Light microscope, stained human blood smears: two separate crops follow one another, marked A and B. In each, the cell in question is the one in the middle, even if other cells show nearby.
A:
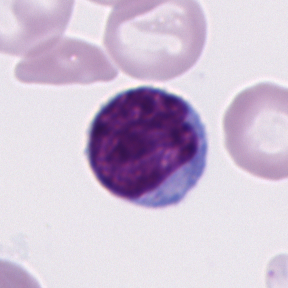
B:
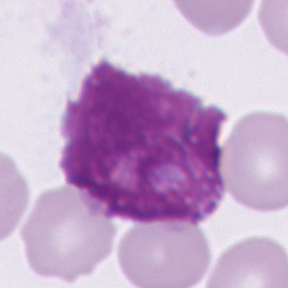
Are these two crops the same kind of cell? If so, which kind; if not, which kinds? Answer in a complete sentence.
No, the cells are a typical lymphocyte in crop A and a smudge cell in crop B.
